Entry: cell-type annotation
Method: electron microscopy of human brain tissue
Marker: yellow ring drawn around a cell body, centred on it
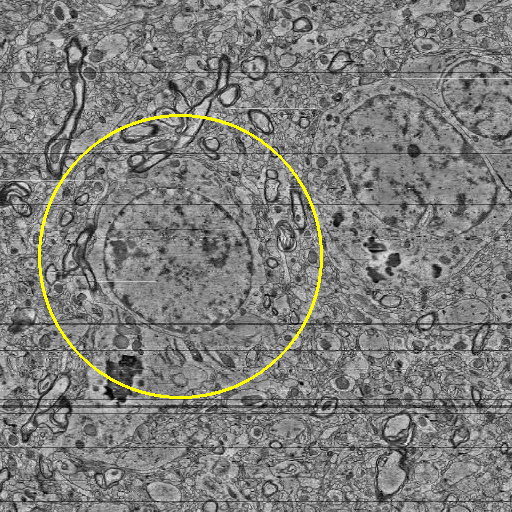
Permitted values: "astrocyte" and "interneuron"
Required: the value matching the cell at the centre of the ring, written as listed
astrocyte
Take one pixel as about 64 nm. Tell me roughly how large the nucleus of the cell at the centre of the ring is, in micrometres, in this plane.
About 10 micrometers across, in this plane.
